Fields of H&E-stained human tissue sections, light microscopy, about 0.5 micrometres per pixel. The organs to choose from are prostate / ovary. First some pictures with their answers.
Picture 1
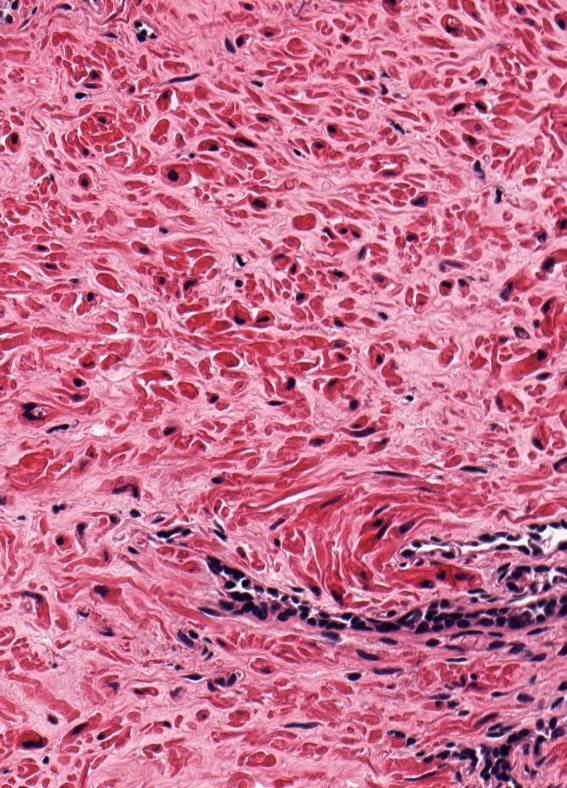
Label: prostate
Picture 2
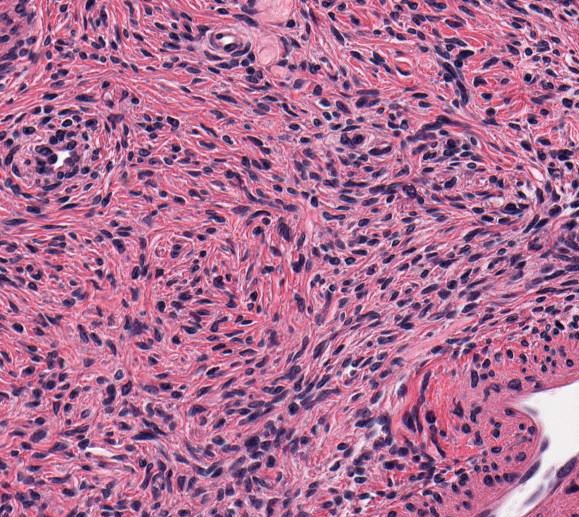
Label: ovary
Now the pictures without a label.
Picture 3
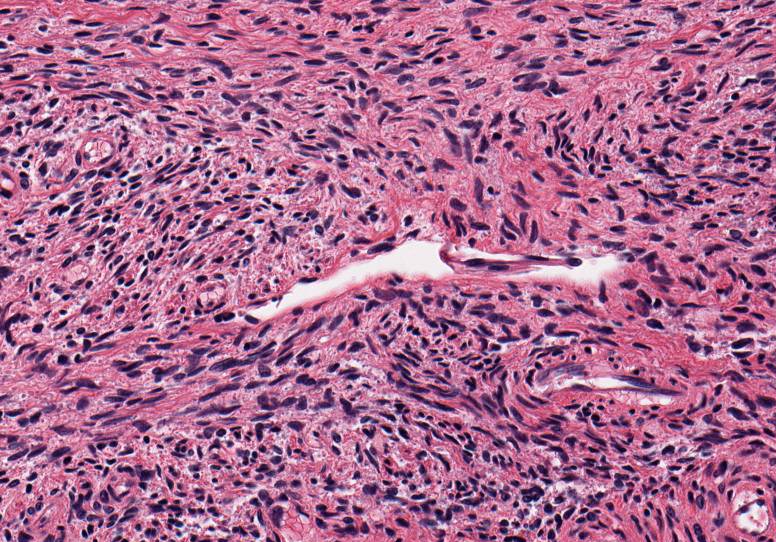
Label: ovary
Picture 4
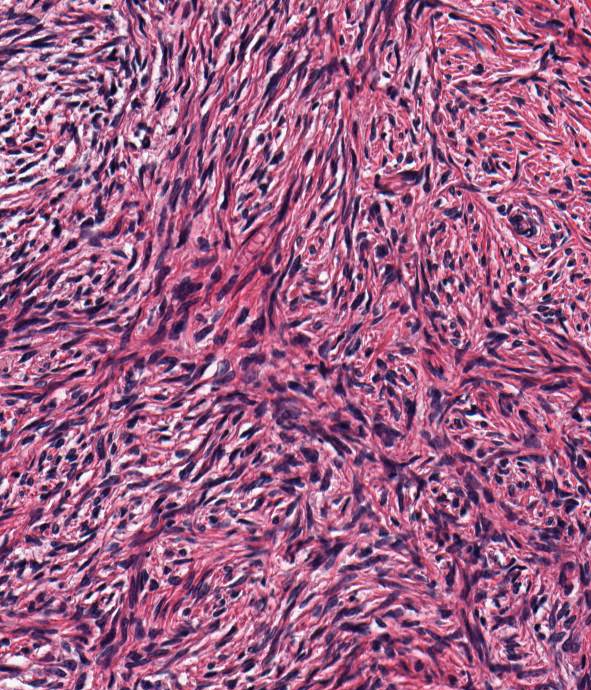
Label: ovary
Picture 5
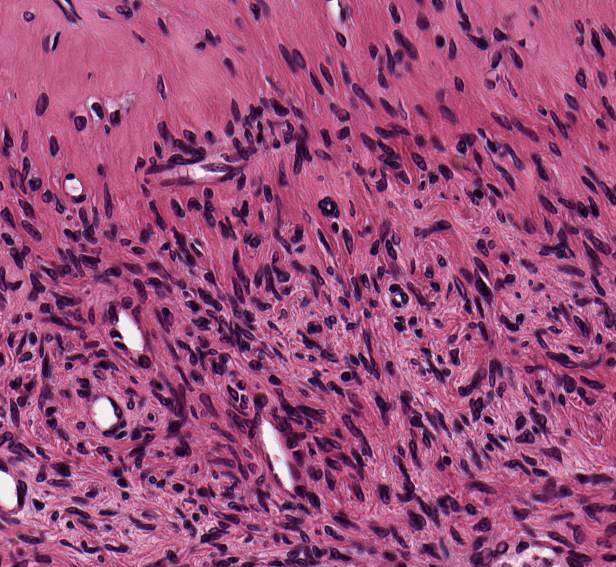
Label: ovary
